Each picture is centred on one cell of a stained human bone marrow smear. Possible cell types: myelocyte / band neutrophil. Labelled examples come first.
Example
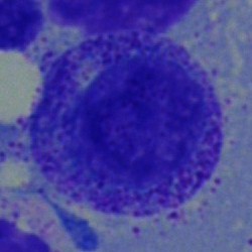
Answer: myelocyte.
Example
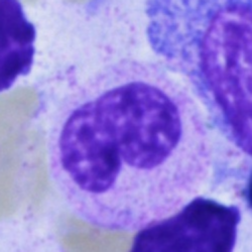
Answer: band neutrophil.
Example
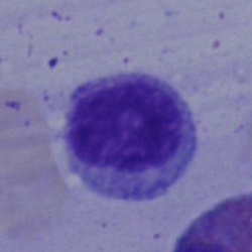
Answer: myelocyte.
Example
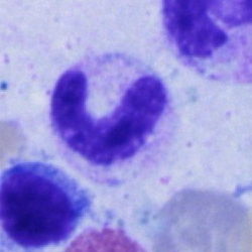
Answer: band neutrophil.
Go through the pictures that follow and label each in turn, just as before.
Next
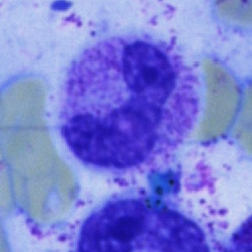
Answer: band neutrophil.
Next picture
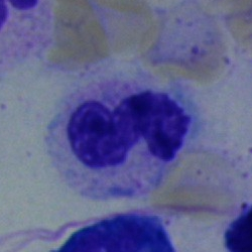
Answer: band neutrophil.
